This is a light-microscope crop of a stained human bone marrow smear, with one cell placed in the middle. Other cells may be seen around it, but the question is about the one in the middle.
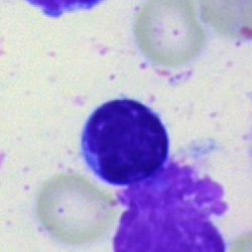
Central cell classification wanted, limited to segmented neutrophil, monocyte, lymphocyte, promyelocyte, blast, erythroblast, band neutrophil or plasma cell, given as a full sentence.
Among the cells in view, the one in the middle is a lymphocyte.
